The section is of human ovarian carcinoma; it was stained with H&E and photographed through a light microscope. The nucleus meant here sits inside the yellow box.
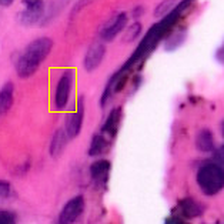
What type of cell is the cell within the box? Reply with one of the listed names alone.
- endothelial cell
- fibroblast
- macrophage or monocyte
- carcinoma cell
endothelial cell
